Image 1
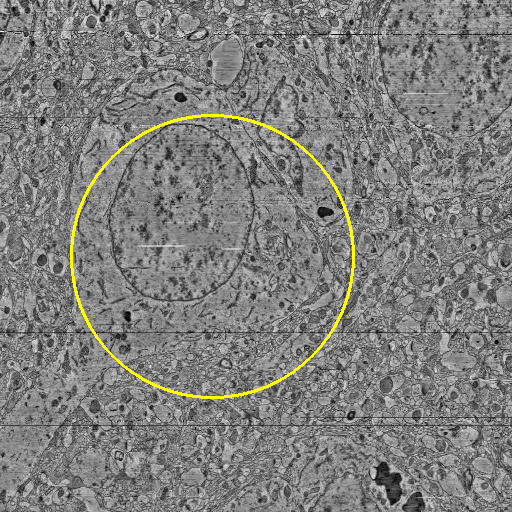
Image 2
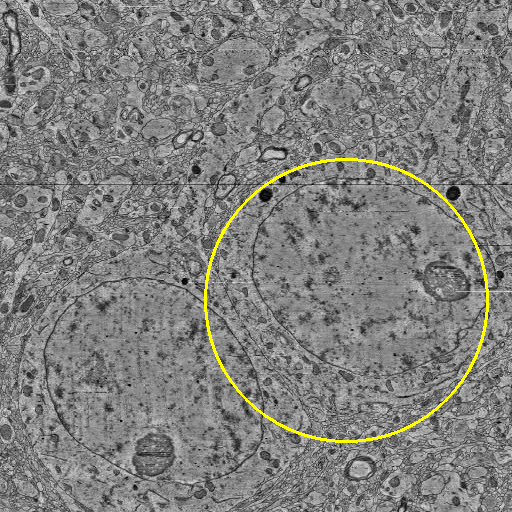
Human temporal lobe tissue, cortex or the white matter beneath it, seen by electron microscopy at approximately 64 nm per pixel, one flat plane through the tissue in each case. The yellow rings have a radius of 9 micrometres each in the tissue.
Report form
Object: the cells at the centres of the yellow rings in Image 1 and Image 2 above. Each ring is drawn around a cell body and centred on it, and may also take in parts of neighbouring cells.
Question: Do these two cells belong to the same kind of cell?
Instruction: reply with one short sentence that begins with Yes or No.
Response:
Yes, both belong to the same kind of cell.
